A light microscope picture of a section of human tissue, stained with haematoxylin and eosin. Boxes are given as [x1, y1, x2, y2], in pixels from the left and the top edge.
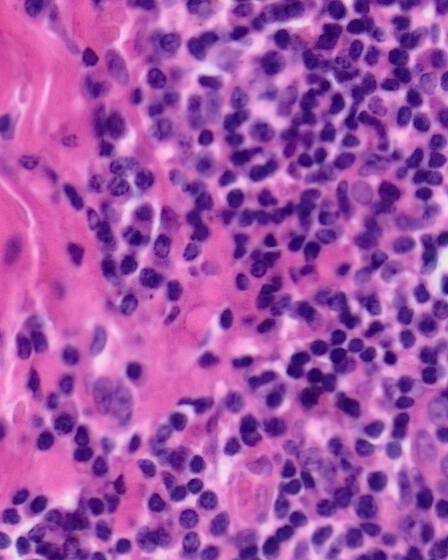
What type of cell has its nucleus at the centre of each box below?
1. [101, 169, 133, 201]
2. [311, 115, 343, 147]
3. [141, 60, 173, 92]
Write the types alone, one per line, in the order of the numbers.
plasma cell
small lymphocyte
plasma cell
